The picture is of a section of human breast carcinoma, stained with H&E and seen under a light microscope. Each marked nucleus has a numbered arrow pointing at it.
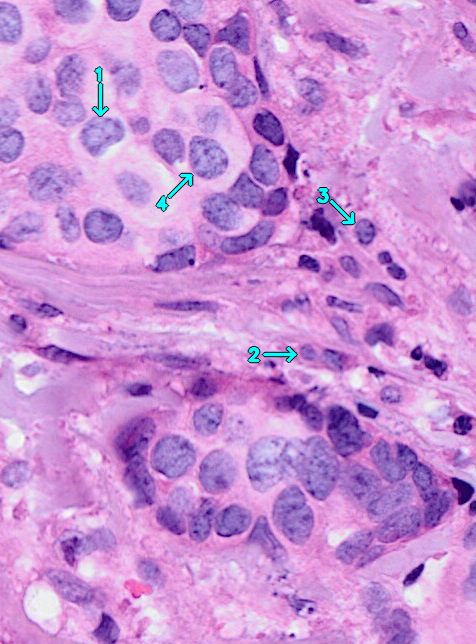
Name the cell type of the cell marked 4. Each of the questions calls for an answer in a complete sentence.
Regarding cell 4, this one is a carcinoma cell.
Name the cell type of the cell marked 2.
Cell 2 in the field is an endothelial cell.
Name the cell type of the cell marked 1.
The cell referred to as 1 is a carcinoma cell.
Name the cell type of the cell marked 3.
The identity of cell 3 is that of a macrophage, monocyte or dendritic cell.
